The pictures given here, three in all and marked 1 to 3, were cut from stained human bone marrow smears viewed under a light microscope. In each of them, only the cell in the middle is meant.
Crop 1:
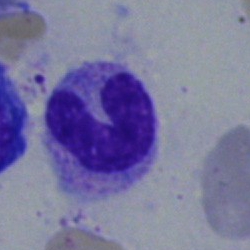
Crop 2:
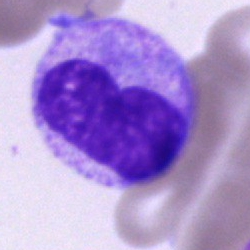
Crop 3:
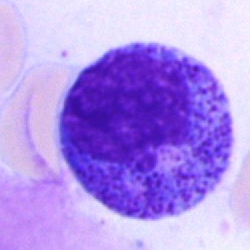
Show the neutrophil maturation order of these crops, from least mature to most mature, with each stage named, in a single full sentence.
The stages, ordered from least to most mature, are crop 3 (a promyelocyte), crop 2 (a metamyelocyte) and crop 1 (a band neutrophil).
